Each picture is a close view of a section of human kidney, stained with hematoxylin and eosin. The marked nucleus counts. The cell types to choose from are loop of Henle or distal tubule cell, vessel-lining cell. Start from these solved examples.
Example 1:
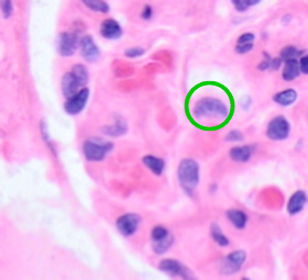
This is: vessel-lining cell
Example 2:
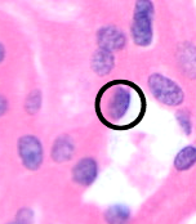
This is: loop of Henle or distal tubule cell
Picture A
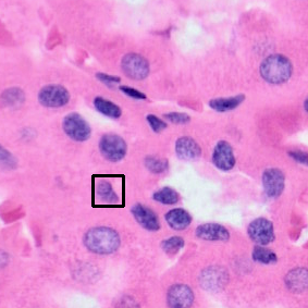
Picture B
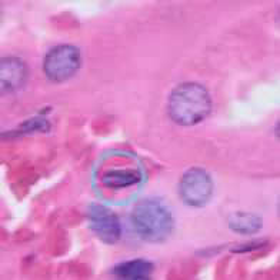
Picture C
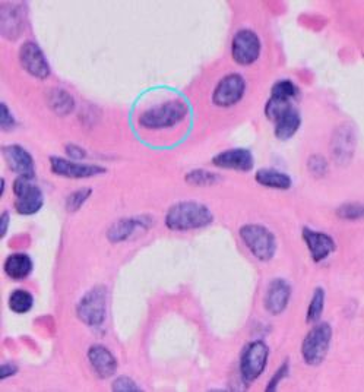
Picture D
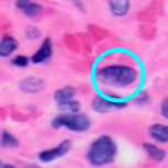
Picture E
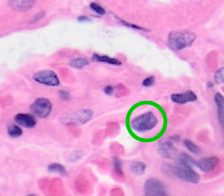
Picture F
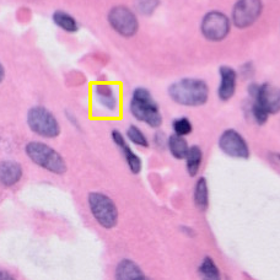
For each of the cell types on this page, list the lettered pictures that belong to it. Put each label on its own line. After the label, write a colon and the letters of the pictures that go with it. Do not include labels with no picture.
loop of Henle or distal tubule cell: A, C
vessel-lining cell: B, D, E, F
